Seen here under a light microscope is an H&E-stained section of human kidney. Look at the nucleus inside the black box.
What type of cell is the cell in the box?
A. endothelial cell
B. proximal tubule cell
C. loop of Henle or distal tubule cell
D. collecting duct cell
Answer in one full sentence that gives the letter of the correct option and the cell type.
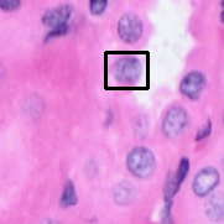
Here the correct option is C, since the cell in the box is a loop of Henle or distal tubule cell.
